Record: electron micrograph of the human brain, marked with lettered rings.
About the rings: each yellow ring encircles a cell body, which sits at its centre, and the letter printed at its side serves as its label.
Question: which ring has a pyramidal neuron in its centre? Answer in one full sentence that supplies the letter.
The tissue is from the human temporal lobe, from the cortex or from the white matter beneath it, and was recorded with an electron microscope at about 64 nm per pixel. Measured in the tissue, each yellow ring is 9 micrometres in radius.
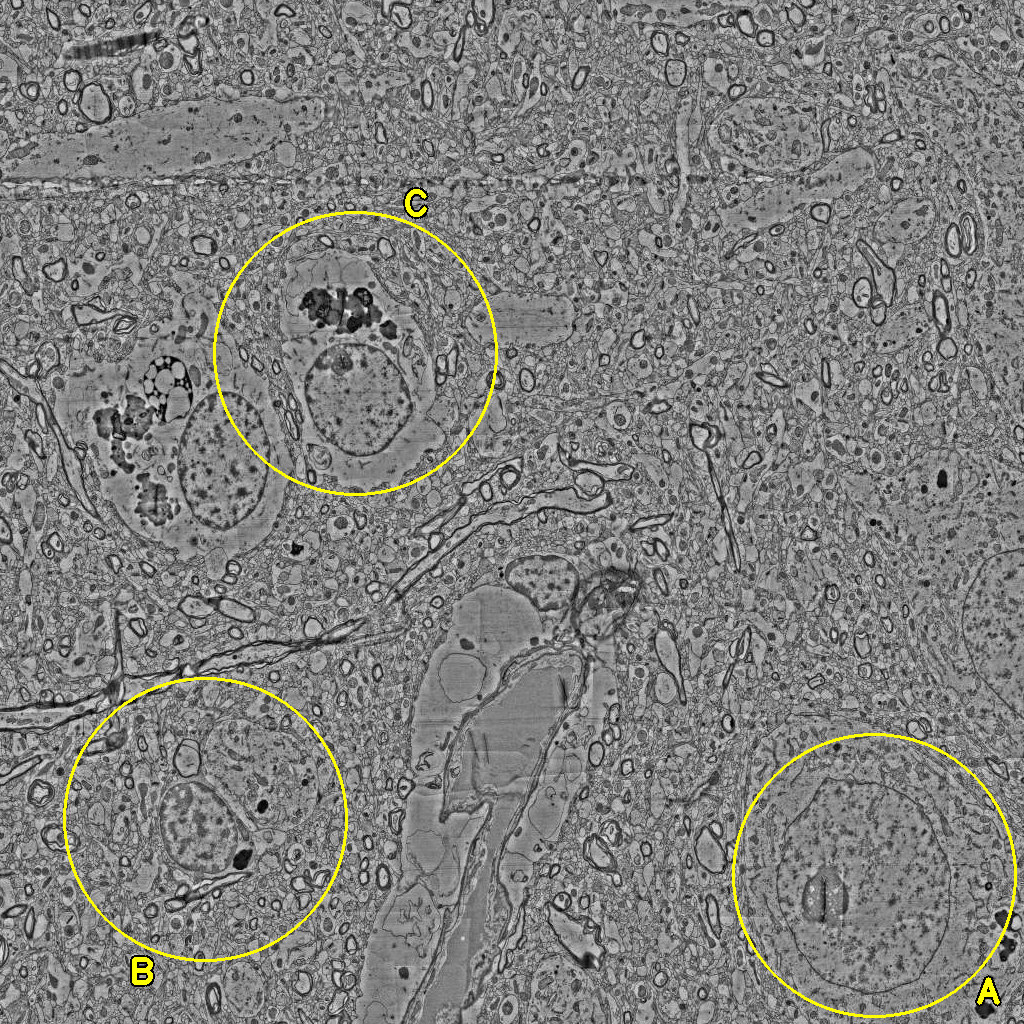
Within the picture, a cell of that kind is centred inside the ring marked A.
